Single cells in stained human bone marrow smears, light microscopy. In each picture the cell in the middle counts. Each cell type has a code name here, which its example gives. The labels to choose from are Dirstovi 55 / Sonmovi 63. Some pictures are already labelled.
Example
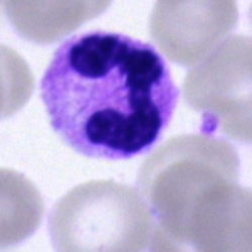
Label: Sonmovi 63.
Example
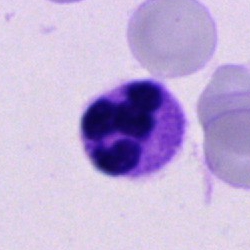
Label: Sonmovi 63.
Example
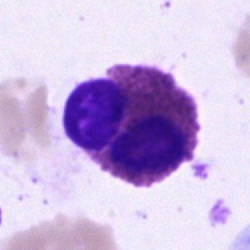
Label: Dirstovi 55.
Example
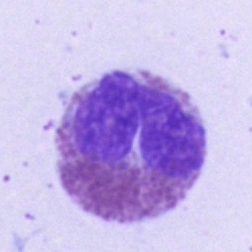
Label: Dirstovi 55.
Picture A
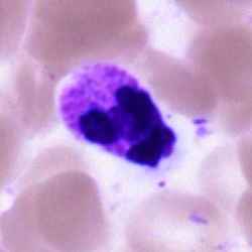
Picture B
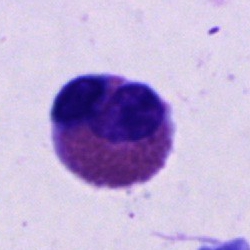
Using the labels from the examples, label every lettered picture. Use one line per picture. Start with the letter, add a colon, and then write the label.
A: Sonmovi 63.
B: Dirstovi 55.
